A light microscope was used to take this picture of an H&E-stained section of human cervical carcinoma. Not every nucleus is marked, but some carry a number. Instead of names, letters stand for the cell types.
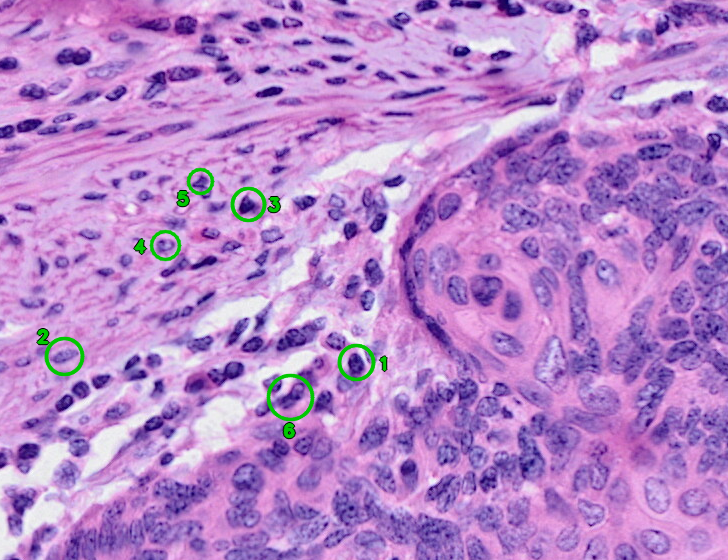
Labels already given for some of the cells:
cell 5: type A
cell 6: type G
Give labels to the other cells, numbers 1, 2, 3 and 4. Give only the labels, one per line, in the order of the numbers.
type G
type A
type G
type A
